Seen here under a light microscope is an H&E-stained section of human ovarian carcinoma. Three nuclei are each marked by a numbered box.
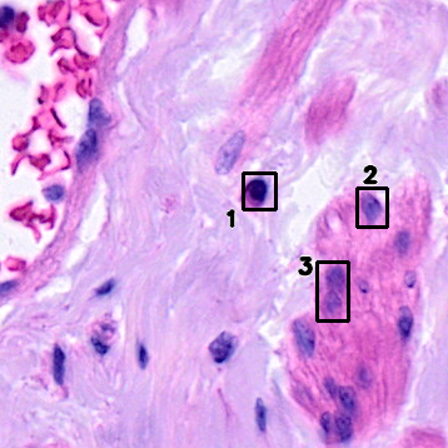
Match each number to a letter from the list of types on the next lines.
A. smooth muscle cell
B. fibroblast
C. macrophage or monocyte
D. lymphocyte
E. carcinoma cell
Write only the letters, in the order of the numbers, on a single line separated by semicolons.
D; A; A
